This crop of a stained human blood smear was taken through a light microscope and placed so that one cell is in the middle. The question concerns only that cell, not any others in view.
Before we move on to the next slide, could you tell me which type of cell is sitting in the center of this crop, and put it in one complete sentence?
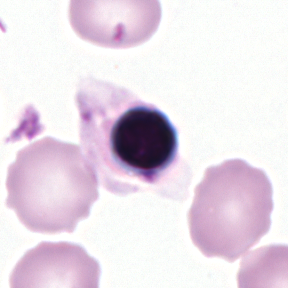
The cell positioned in the middle of the field is a normoblast.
